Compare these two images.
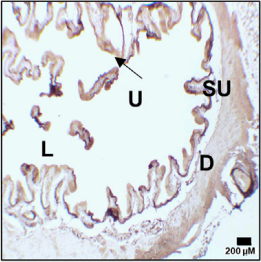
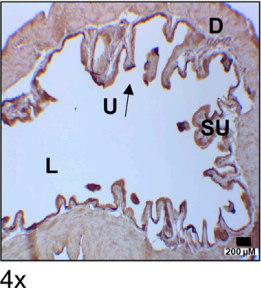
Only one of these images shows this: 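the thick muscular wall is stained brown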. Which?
The second image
